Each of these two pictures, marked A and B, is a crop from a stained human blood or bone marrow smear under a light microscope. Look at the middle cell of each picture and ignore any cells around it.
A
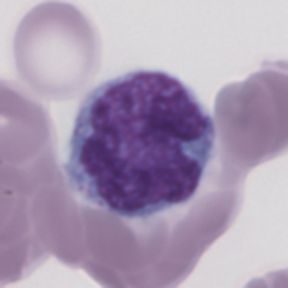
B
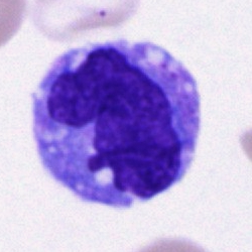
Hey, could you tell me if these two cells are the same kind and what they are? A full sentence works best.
Yes, both crops have monocytes at the centre.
